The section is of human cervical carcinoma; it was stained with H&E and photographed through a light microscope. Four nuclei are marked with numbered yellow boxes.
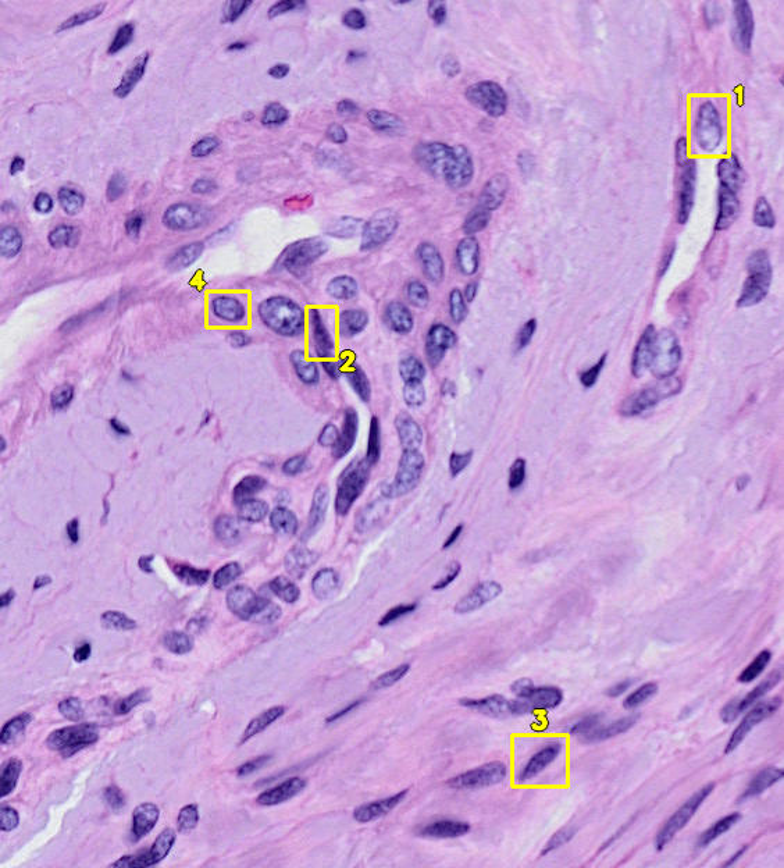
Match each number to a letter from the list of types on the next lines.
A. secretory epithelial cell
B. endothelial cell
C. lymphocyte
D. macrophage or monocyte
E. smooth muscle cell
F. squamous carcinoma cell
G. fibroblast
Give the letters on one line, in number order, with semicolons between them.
B; B; G; E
